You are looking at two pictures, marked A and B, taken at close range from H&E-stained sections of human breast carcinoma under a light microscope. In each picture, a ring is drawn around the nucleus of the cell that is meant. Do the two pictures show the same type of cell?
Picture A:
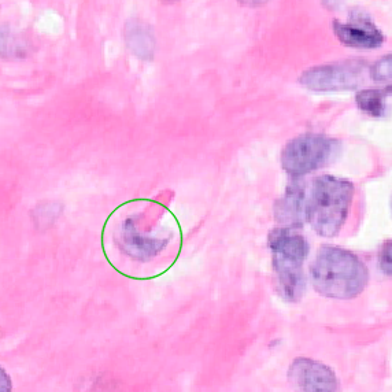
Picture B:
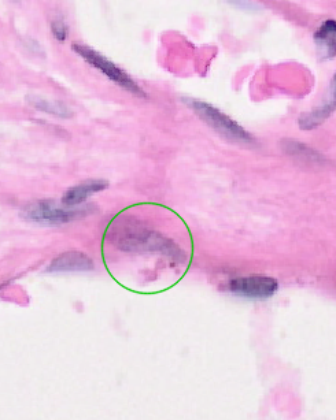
yes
